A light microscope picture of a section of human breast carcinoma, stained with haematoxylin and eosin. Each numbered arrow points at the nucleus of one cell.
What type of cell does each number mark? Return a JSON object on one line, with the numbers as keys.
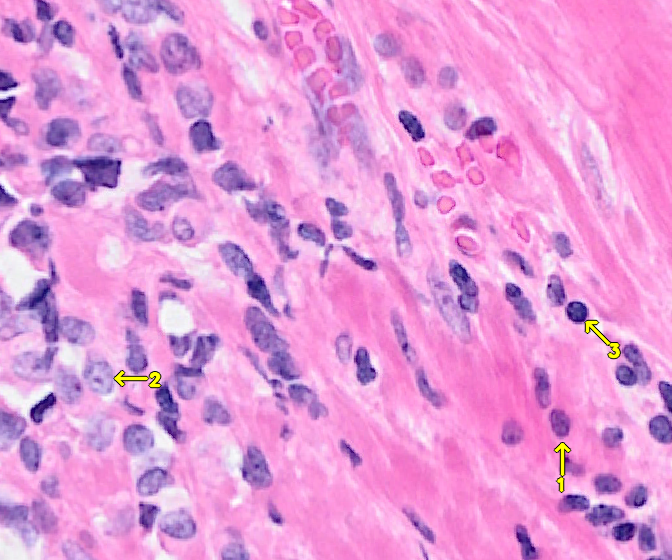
{"1": "lymphocyte", "2": "carcinoma cell", "3": "lymphocyte"}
